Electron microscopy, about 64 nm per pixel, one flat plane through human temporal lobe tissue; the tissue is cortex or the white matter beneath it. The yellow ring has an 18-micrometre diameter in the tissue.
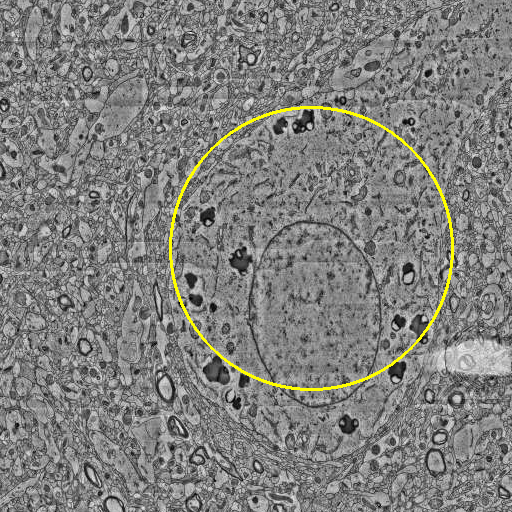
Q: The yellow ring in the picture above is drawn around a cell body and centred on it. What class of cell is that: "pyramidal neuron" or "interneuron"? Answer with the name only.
pyramidal neuron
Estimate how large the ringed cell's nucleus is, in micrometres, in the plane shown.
The nucleus measures about 12 by 8 micrometres in this plane.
